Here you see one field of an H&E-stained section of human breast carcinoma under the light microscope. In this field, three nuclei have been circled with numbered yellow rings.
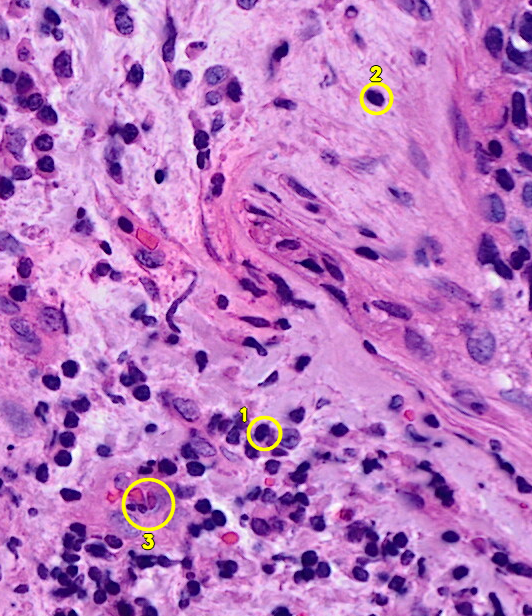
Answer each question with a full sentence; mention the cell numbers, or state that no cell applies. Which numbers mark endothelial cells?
The nucleus labelled 3 alone belongs to an endothelial cell; the other marked nuclei do not.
